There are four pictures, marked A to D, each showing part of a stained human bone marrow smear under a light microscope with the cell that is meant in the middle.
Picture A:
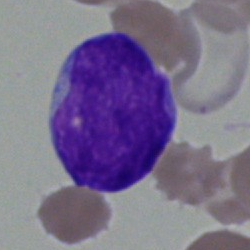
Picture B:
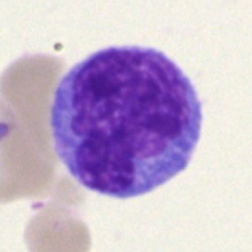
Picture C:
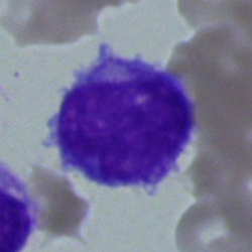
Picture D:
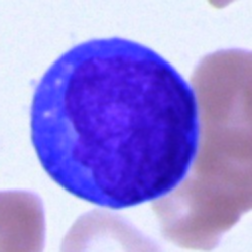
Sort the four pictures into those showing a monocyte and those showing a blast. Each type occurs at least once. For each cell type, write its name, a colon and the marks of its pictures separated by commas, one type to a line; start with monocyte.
monocyte: B
blast: A, C, D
